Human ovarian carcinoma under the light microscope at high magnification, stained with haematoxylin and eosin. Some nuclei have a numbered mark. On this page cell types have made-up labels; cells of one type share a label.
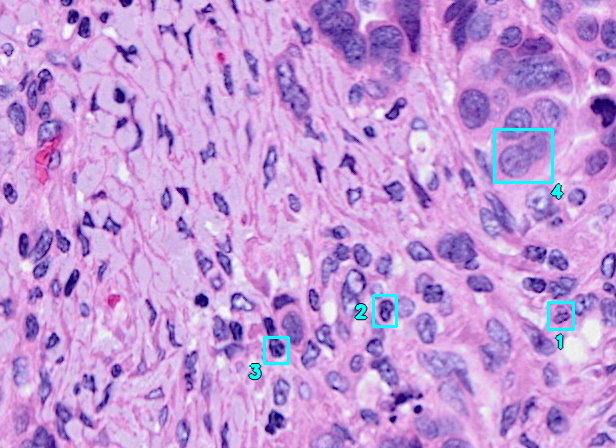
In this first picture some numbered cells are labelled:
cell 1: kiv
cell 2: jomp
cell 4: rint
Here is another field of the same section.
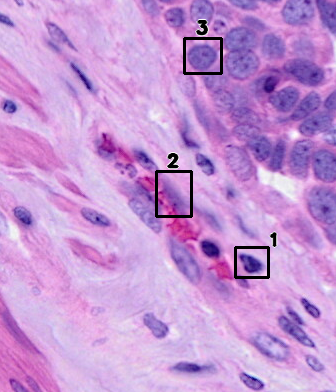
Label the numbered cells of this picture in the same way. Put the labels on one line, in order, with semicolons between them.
jomp; kiv; rint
